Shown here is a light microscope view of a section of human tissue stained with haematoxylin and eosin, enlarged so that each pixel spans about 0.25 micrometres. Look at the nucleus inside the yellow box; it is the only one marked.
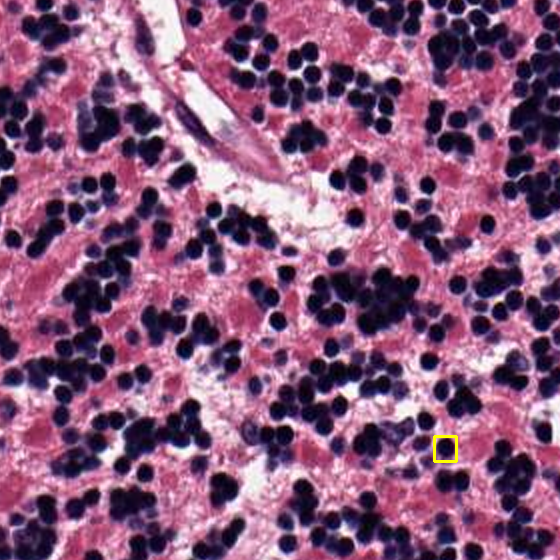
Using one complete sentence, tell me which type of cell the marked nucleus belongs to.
In this picture, the marked nucleus belongs to a cerebellar granule cell.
